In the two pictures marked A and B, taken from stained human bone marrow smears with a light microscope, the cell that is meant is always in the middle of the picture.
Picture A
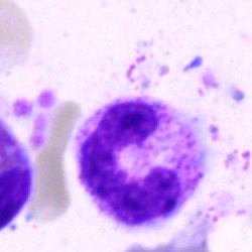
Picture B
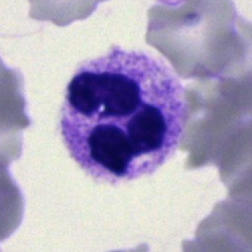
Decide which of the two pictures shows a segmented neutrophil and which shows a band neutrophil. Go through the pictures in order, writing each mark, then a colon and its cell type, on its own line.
A: band neutrophil
B: segmented neutrophil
